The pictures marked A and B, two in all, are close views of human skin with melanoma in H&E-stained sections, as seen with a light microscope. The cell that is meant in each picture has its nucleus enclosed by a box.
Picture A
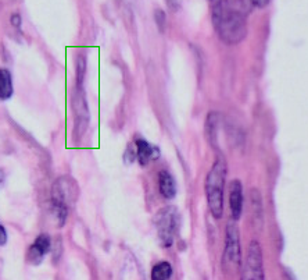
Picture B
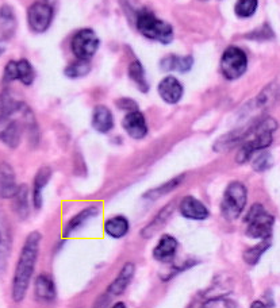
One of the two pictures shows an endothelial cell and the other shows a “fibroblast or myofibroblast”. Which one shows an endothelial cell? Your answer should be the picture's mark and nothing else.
B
